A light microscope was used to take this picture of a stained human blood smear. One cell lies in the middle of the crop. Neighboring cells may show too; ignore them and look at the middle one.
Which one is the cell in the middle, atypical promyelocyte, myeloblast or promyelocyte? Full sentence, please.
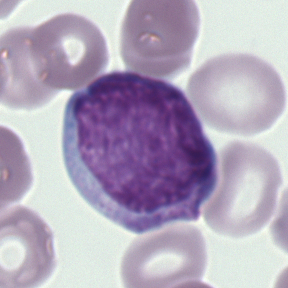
The center cell of this crop is an atypical promyelocyte.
